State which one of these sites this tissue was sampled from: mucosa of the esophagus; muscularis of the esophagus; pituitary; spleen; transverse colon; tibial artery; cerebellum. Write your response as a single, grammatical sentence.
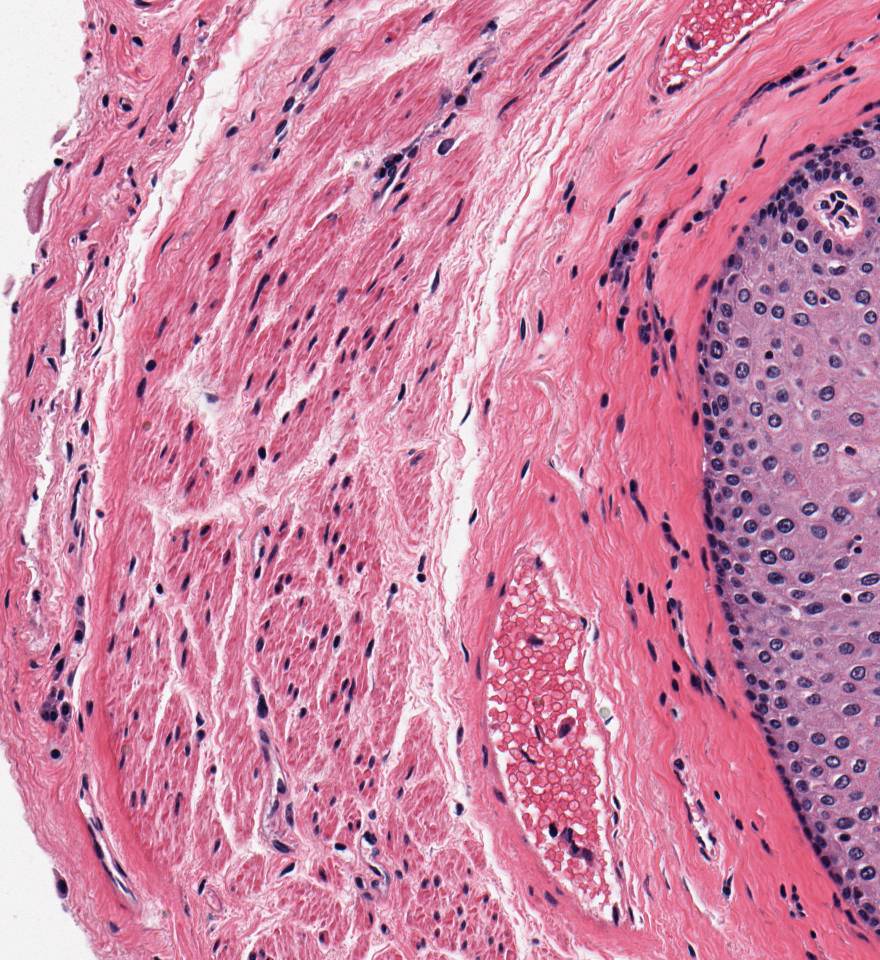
It is the mucosa of the esophagus from which this tissue was sampled.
